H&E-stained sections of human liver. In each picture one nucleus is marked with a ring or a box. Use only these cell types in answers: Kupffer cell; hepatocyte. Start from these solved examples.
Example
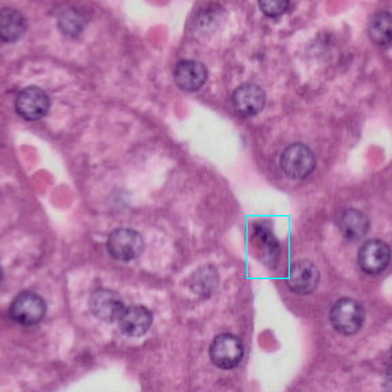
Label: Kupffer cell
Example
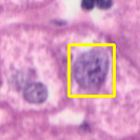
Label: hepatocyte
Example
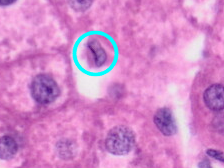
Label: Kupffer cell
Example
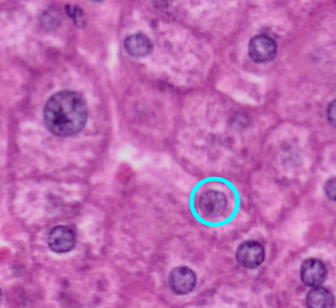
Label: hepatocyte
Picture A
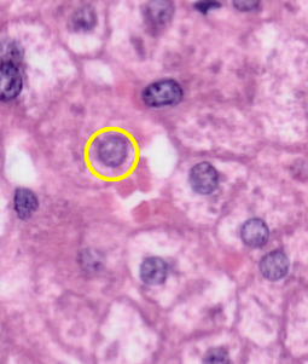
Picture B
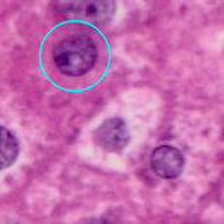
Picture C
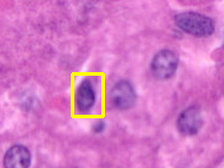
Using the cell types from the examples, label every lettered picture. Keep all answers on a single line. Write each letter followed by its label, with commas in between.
A hepatocyte, B hepatocyte, C Kupffer cell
